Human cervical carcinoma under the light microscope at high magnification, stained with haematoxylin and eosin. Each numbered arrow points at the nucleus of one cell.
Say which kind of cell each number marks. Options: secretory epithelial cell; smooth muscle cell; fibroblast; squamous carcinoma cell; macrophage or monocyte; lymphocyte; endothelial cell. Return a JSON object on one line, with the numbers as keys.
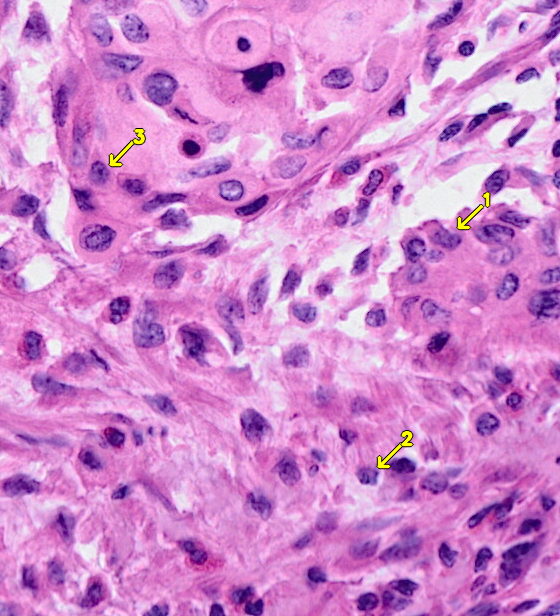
{"1": "squamous carcinoma cell", "2": "lymphocyte", "3": "squamous carcinoma cell"}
